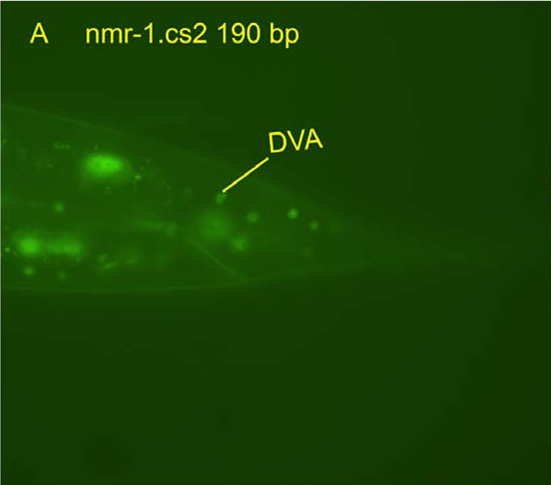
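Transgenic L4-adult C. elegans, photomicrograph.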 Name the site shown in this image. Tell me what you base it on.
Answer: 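The faint body outline narrows towards the right. Small fluorescent cell bodies and granules lie within the narrowing body. The answer: tail region.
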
